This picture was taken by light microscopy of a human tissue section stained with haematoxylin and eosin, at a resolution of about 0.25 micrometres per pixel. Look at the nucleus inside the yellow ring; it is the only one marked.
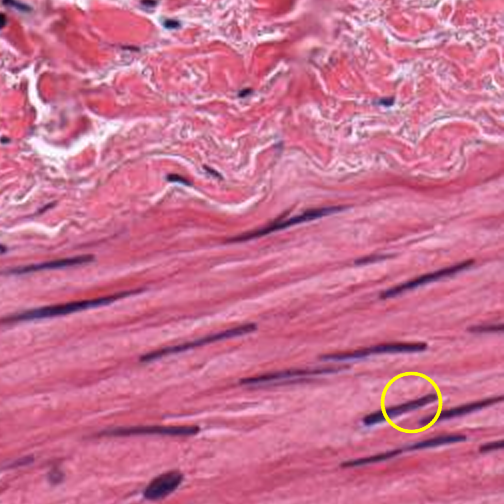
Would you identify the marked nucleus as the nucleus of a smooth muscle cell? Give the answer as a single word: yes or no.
yes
